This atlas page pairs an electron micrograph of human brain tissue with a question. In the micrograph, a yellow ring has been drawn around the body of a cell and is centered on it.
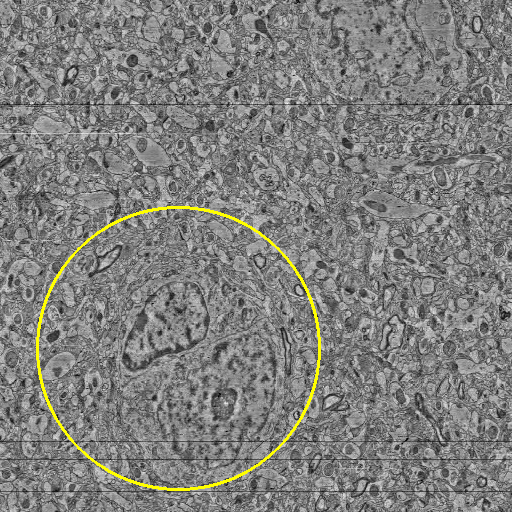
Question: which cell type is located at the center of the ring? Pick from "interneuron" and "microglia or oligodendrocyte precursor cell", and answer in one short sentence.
Located at the center of the ring is a microglial cell or oligodendrocyte precursor cell.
